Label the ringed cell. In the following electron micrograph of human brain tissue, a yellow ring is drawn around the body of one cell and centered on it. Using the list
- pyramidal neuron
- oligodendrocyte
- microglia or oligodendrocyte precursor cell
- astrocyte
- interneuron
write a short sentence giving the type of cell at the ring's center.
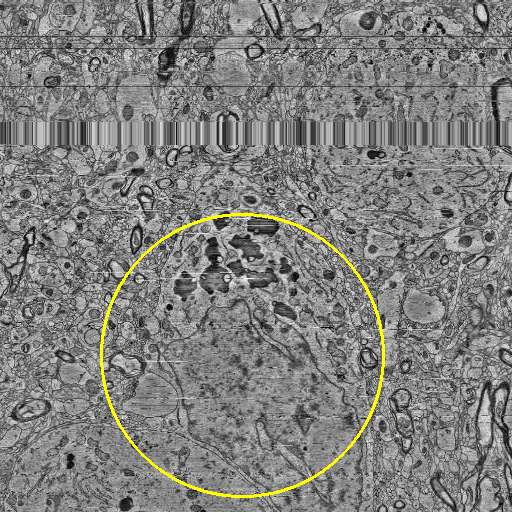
The cell body at the ring's center is that of an interneuron.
